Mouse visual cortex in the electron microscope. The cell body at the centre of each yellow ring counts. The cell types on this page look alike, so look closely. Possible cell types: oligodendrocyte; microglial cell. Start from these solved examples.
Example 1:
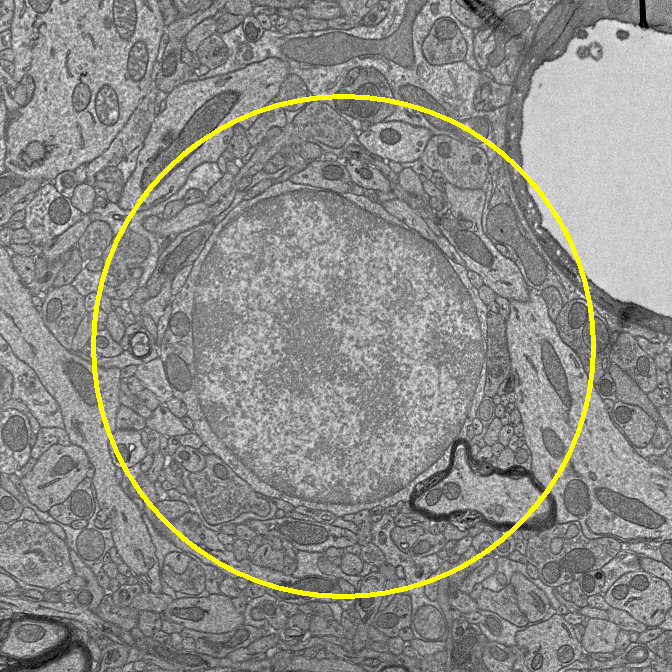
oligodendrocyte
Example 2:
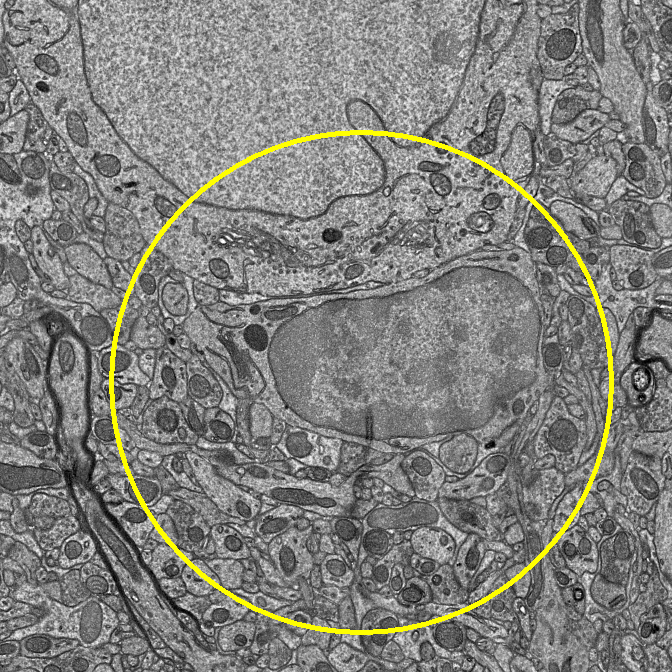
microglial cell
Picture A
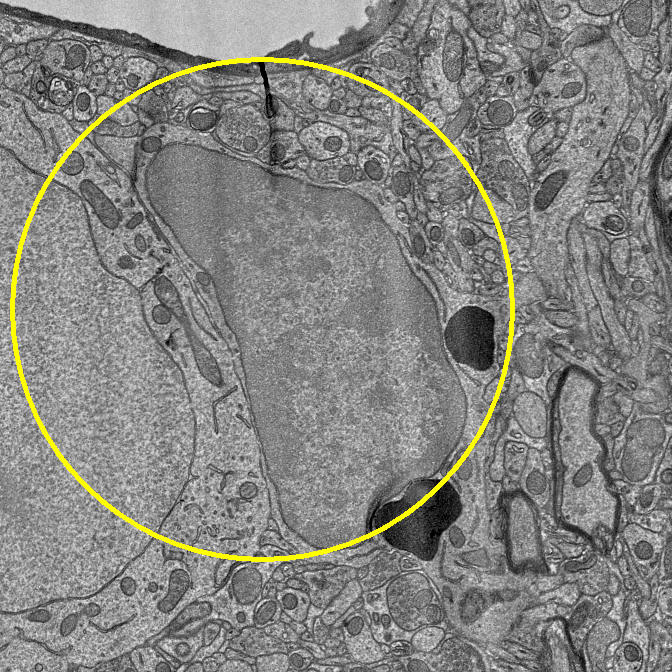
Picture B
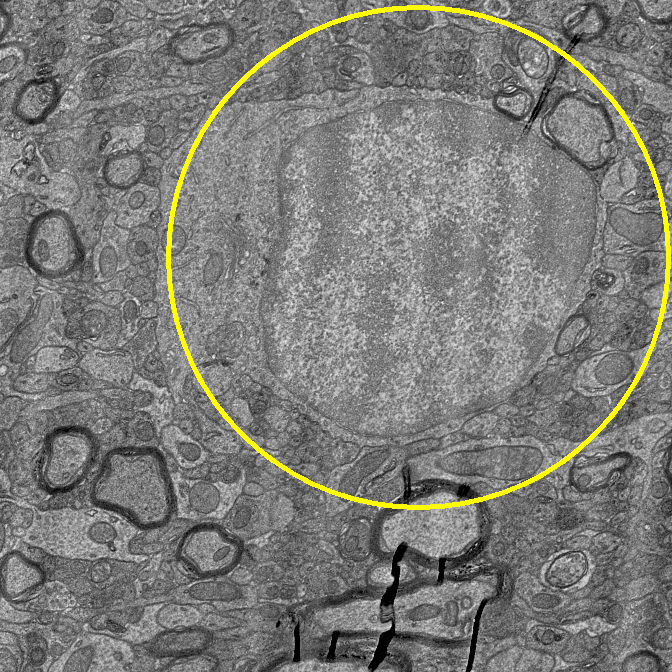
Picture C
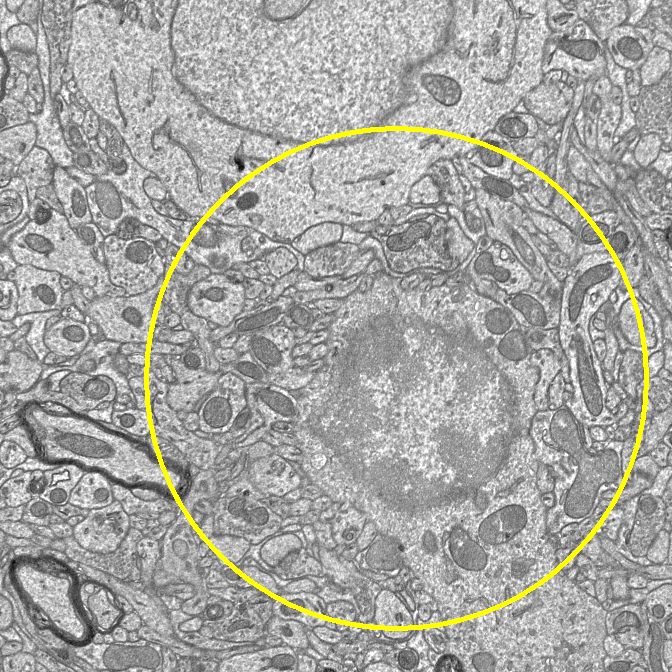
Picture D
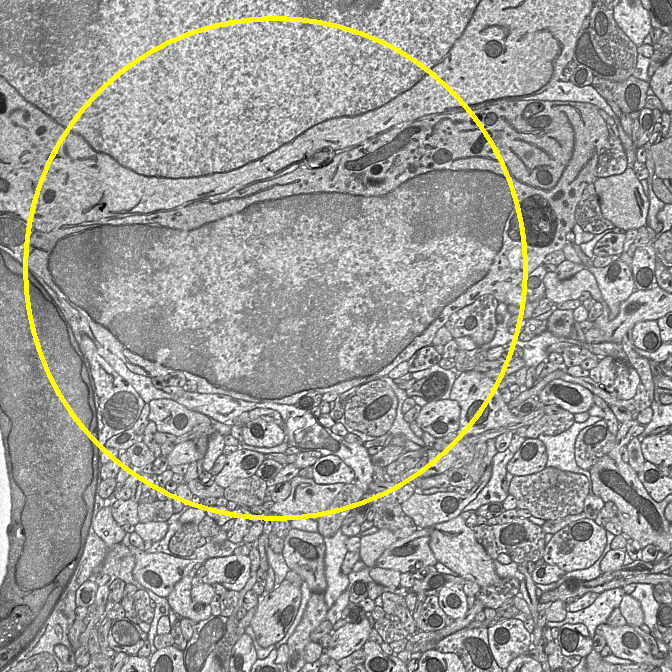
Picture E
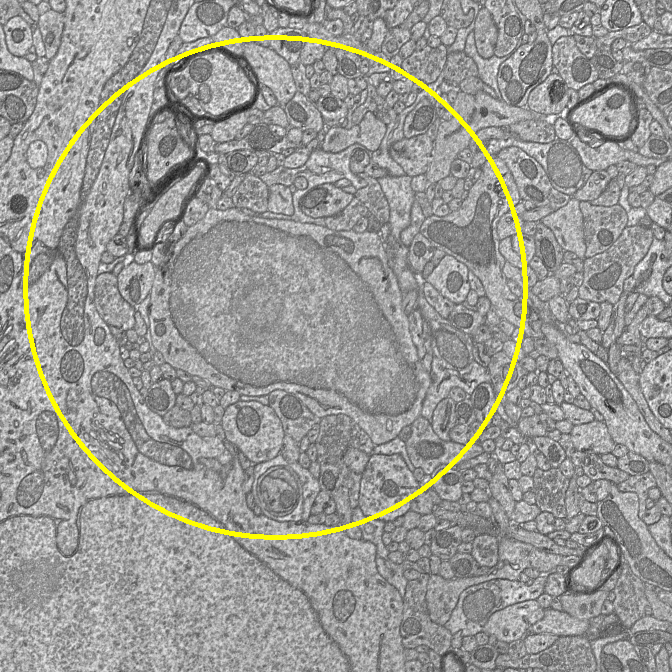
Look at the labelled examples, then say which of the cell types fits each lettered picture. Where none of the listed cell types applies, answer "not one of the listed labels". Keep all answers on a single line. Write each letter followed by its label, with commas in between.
A microglial cell, B oligodendrocyte, C oligodendrocyte, D microglial cell, E microglial cell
